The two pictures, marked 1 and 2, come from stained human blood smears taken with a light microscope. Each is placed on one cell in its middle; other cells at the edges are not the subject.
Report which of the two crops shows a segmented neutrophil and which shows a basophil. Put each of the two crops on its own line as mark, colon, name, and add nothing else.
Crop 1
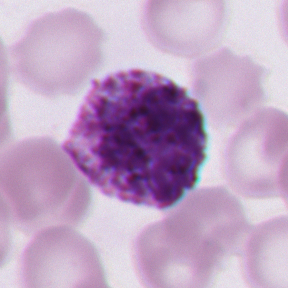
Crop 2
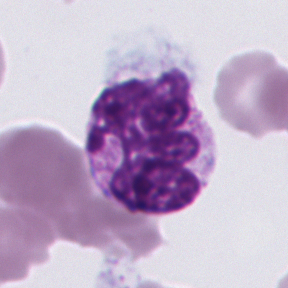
1: basophil
2: segmented neutrophil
